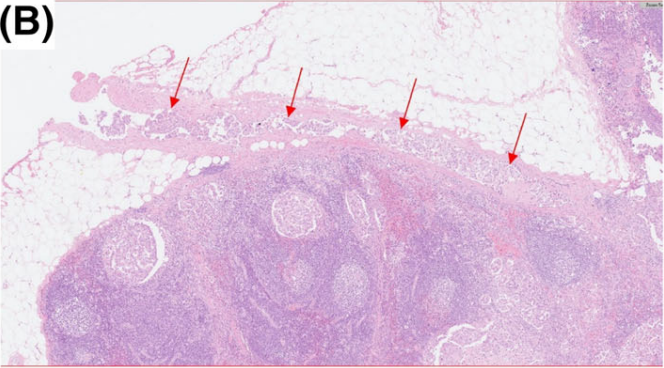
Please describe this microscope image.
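A lymph node with cancer cells in lymphatic vessels just outside it. The lower part is a dense, purple lymphoid mass containing several paler rounded nodules, enclosed by a pink fibrous capsule. Above the capsule lies adipose tissue of large clear fat cells. Small vessels and pink connective tissue strands cross the node.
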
